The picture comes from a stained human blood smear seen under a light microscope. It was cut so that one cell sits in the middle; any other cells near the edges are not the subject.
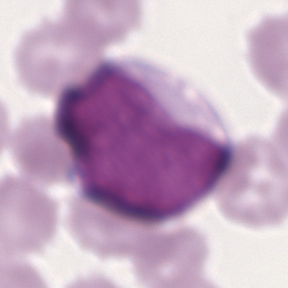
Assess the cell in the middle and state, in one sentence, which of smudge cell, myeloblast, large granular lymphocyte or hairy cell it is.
Occupying the centre of the crop is a myeloblast.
